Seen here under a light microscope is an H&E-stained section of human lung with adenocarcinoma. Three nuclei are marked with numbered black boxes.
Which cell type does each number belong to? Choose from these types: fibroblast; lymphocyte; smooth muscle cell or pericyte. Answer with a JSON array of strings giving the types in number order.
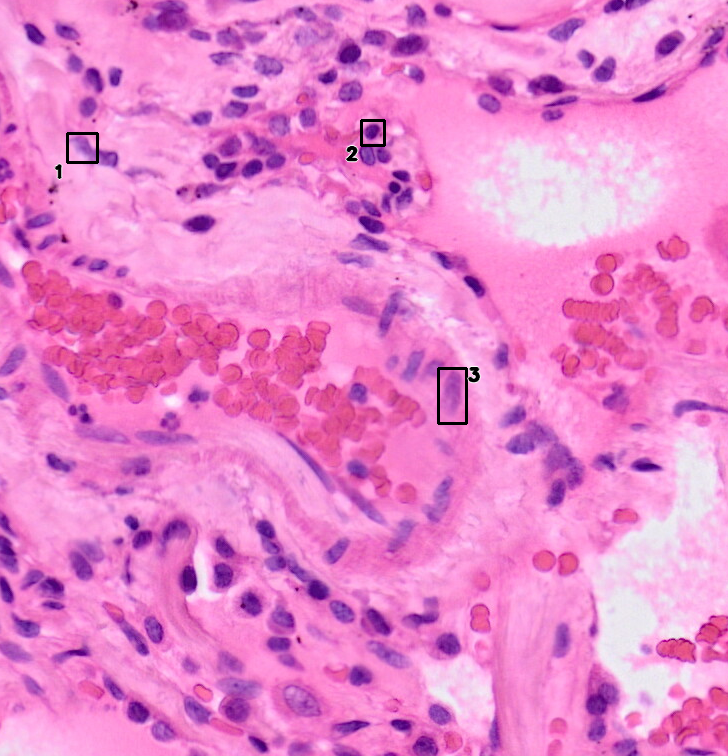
["fibroblast", "lymphocyte", "smooth muscle cell or pericyte"]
